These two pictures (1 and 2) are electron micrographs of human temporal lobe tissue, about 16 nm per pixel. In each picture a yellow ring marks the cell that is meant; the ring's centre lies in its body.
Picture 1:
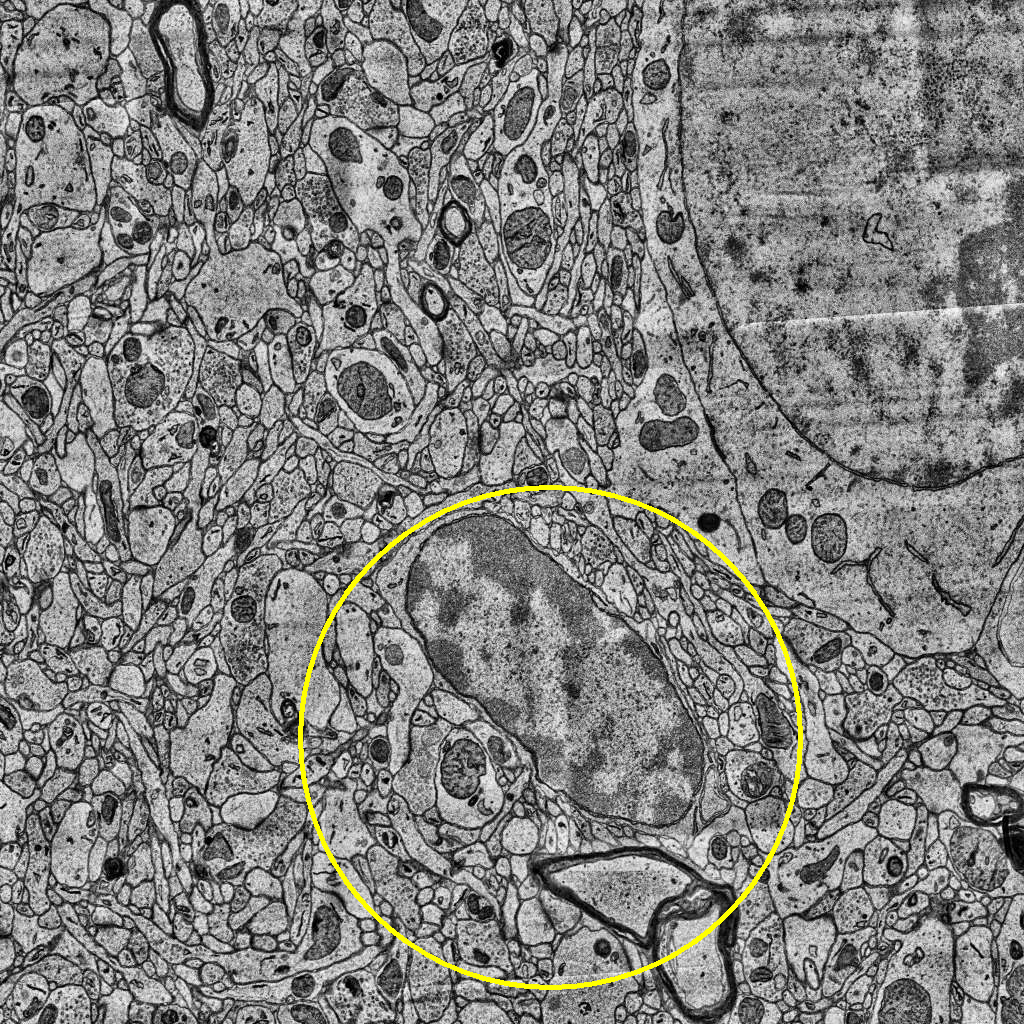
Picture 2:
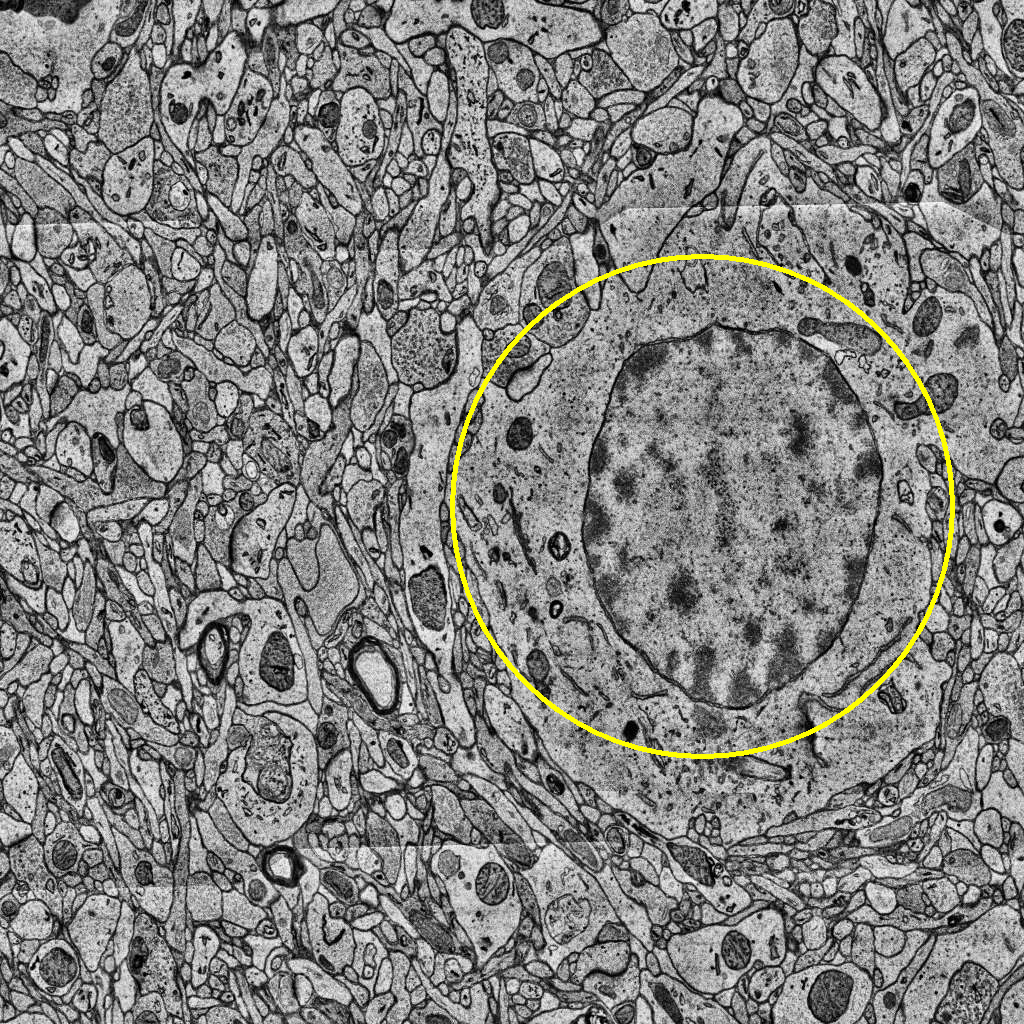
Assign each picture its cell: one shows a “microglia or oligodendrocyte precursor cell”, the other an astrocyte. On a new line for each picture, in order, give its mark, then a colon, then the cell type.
1: microglia or oligodendrocyte precursor cell
2: astrocyte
